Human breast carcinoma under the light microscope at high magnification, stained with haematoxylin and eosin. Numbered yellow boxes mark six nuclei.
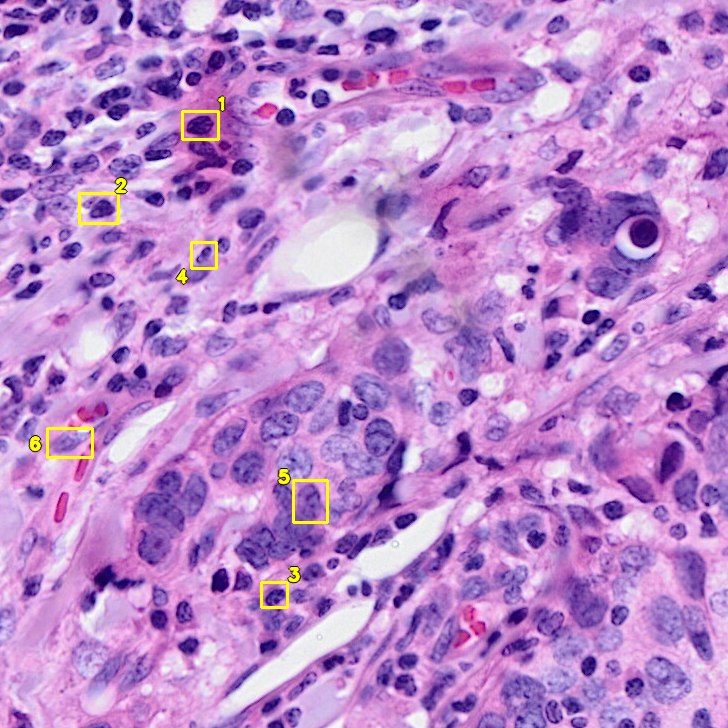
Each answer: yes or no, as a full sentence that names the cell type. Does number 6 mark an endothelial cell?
Yes, the cell given number 6 is an endothelial cell.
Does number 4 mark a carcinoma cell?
No, the cell numbered 4 is a lymphocyte rather than a carcinoma cell.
